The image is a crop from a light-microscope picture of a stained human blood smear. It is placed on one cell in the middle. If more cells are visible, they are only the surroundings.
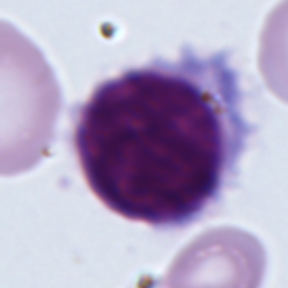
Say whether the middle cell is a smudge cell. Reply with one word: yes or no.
no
